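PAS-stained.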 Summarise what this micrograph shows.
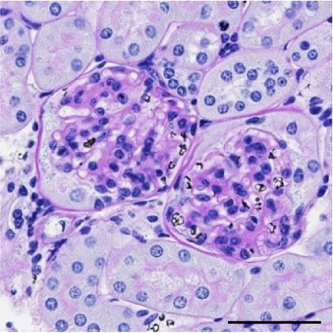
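This is kidney tissue in which two large renal corpuscles occupy much of the field, with tubules around them. The corpuscles are densely packed with blue-purple nuclei and magenta-stained capillary walls and matrix, each enclosed by a distinct pink capsule. Small dark granules are scattered within the tufts. The surrounding tubules are lined by cuboidal cells with pale pink-grey cytoplasm and round blue nuclei.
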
